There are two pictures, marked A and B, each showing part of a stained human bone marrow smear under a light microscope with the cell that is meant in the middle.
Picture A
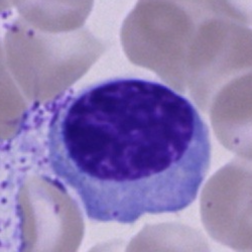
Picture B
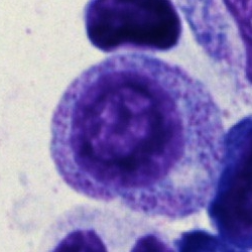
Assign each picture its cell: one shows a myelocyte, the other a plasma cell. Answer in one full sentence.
Picture A is of a plasma cell, and picture B is of a myelocyte.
